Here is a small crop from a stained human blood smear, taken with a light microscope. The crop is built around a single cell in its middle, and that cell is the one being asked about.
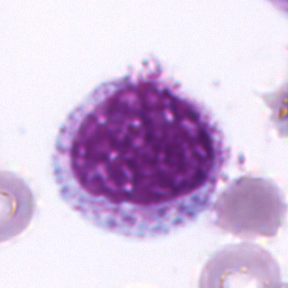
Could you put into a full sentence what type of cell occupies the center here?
The cell sitting right in the middle is a myelocyte.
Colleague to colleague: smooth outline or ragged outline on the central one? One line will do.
A smooth outline is absent here, replaced by ragged stretches or projections.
